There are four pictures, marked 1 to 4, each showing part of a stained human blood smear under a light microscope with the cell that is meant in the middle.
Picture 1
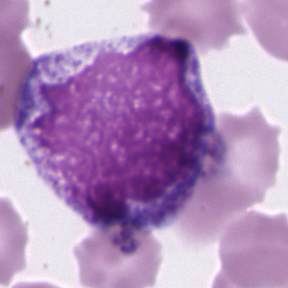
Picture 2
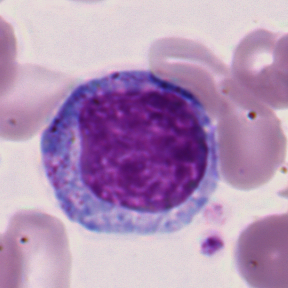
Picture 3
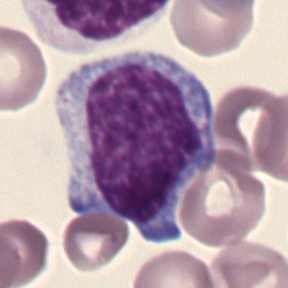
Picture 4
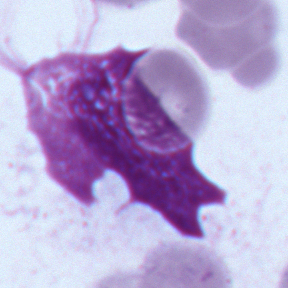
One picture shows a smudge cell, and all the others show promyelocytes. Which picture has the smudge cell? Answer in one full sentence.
The smudge cell is the one in picture 4.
